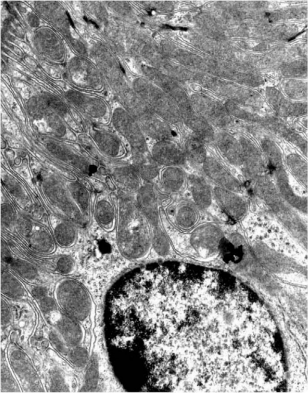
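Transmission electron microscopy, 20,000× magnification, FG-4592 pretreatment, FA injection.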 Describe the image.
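This electron micrograph shows the cytoplasm of a kidney epithelial cell crowded with mitochondria. Thin, parallel membrane folds run between the mitochondria, giving the cytoplasm a striated look. A few small electron-dense bodies are scattered among the organelles.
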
